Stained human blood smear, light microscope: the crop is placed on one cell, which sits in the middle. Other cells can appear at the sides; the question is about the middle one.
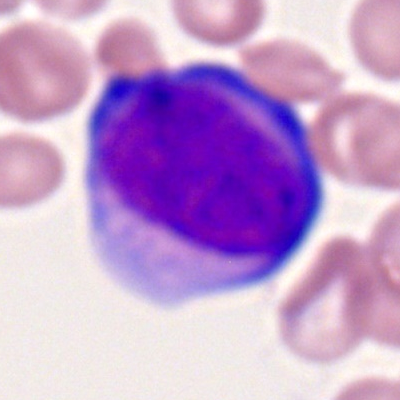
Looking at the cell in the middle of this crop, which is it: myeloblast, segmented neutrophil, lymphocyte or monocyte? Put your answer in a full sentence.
This crop has a myeloblast at its centre.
